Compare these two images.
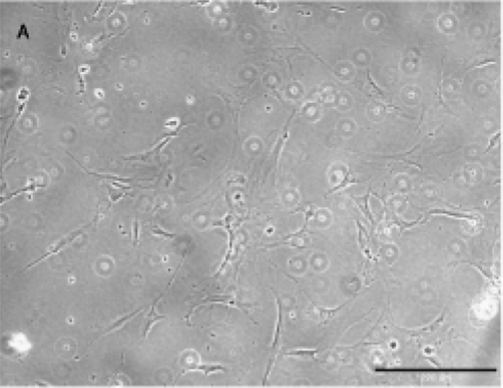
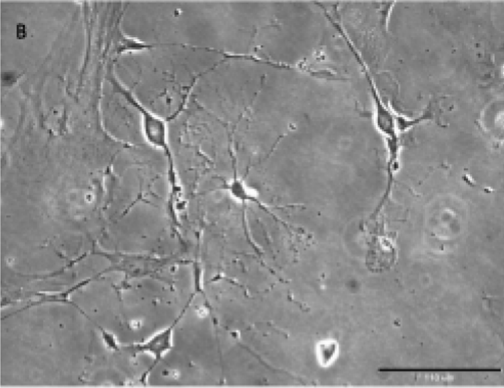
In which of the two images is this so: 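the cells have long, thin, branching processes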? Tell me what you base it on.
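The second image. First image: flat, spindle-shaped cells with short extensions and no branching network of fine processes.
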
